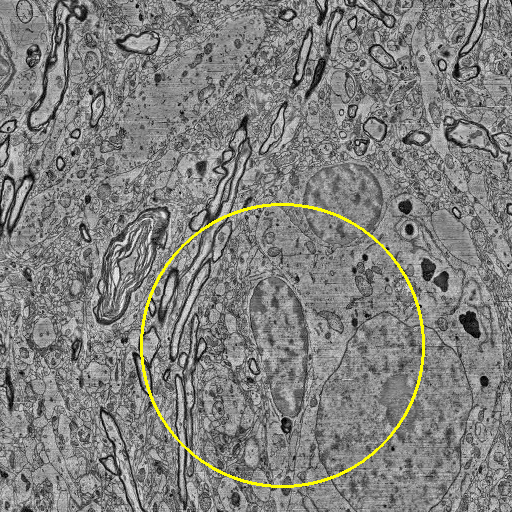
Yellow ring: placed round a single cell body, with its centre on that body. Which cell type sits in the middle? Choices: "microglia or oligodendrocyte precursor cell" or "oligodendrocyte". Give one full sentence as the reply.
It is a microglial cell or oligodendrocyte precursor cell whose cell body sits at the centre of the yellow ring.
